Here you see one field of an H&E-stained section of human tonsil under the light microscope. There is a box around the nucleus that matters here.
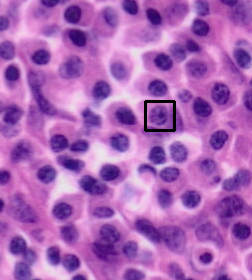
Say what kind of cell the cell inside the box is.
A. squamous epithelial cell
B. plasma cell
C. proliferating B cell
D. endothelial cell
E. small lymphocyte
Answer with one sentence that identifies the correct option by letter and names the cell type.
It is option B that correctly calls the cell inside the box a plasma cell.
